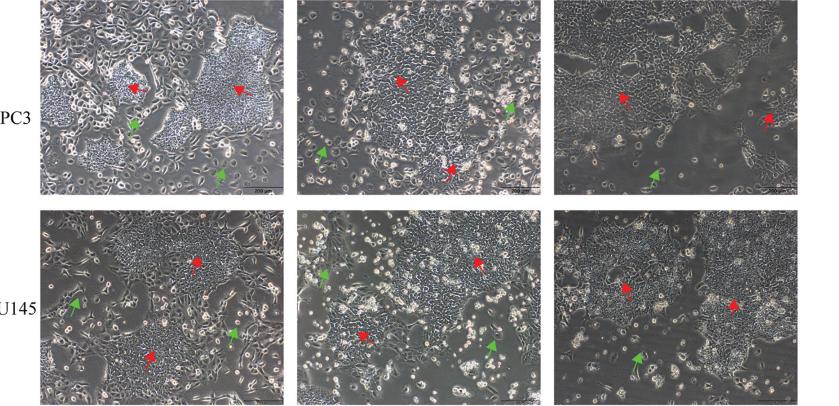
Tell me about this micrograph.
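Phase-contrast images of a mixed culture show compact, densely packed colonies of small cells with little cytoplasm (red arrows). Between the colonies lie more loosely scattered cells (green arrows). Some of these are flattened and spread with elongated shapes, and many are small, rounded and refractile.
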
